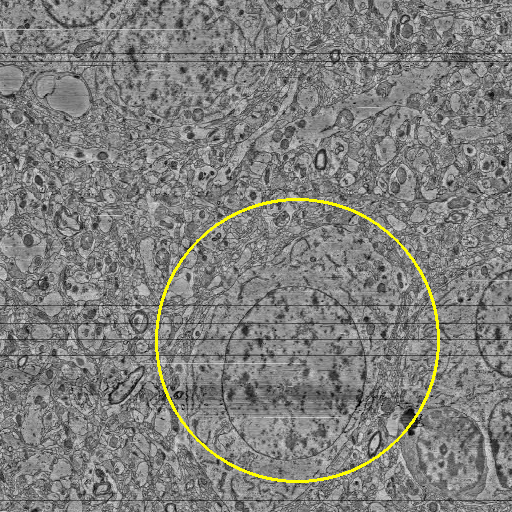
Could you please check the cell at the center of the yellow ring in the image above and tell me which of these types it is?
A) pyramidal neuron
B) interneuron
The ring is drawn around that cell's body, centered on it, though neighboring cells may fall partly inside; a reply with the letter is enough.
A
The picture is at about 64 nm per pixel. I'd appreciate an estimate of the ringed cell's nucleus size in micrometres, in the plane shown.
The nucleus comes to roughly 12 by 9 micrometres in this plane.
